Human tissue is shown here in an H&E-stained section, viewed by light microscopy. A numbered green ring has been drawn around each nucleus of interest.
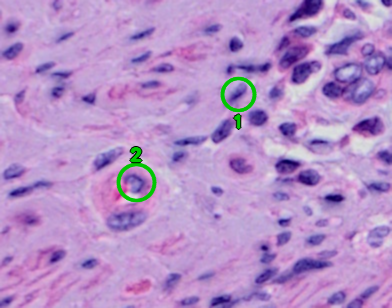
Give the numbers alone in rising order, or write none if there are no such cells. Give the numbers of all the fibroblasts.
1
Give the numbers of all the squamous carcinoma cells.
none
